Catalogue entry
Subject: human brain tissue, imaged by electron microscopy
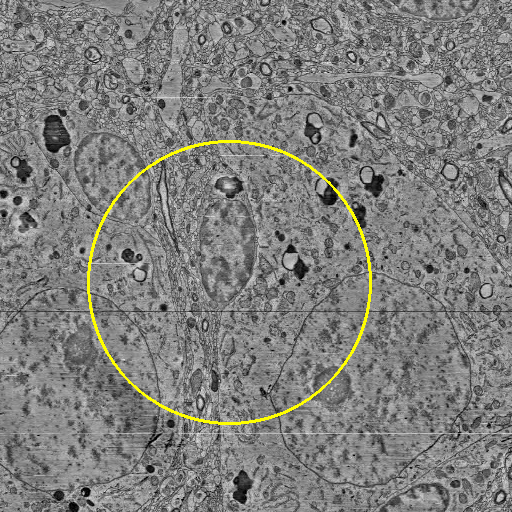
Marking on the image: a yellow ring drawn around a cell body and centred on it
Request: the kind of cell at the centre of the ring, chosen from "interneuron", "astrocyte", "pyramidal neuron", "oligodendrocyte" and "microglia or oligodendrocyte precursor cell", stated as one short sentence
The ring has an oligodendrocyte at its centre.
